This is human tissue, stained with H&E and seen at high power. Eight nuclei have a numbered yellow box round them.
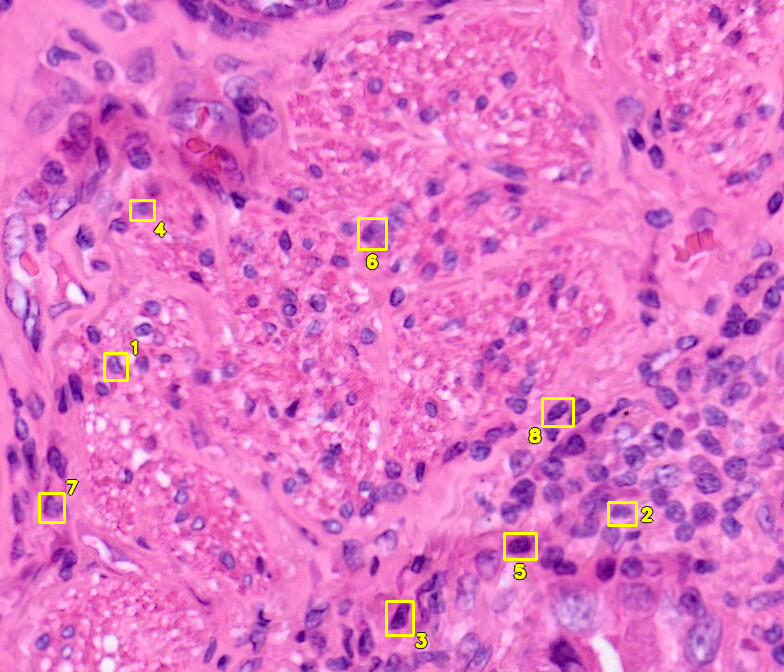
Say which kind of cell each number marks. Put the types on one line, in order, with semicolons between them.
smooth muscle cell or pericyte; lymphocyte; plasma cell; smooth muscle cell or pericyte; plasma cell; smooth muscle cell or pericyte; mast cell; lymphocyte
